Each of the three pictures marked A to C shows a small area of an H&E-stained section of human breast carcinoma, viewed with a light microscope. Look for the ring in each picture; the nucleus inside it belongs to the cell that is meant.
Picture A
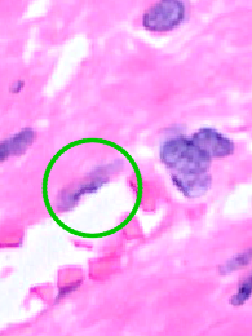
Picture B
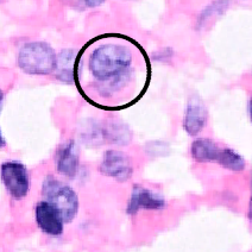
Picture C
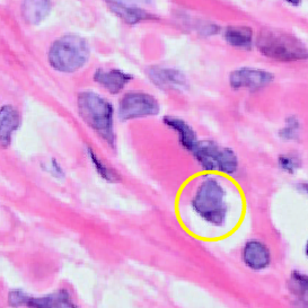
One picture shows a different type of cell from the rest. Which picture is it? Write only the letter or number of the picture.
A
